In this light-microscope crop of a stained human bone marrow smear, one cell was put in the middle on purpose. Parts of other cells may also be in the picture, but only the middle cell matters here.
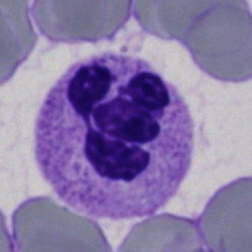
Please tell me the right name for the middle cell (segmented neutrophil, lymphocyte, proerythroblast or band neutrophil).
segmented neutrophil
